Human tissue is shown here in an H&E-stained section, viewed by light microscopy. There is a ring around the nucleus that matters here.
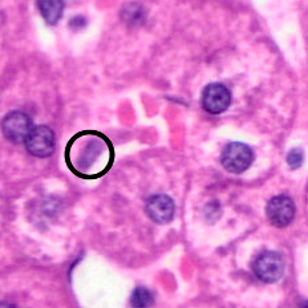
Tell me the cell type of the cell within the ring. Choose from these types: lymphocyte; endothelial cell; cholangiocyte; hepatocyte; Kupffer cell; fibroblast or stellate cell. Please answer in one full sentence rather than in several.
Assigned to a cell type, the cell within the ring is a Kupffer cell.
